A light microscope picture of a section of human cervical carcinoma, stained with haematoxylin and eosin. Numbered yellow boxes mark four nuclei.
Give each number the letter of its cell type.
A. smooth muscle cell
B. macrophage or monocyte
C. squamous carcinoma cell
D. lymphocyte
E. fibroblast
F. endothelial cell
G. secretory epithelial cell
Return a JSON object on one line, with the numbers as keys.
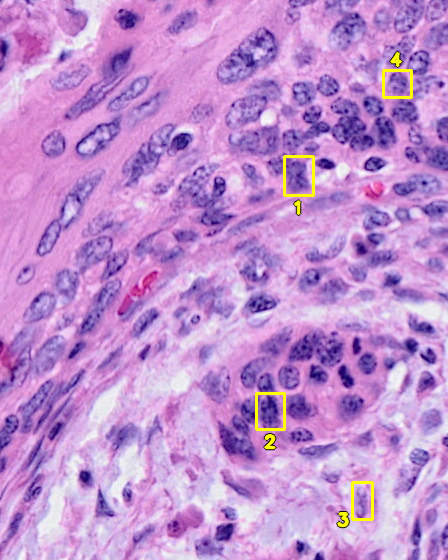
{"1": "C", "2": "C", "3": "E", "4": "C"}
